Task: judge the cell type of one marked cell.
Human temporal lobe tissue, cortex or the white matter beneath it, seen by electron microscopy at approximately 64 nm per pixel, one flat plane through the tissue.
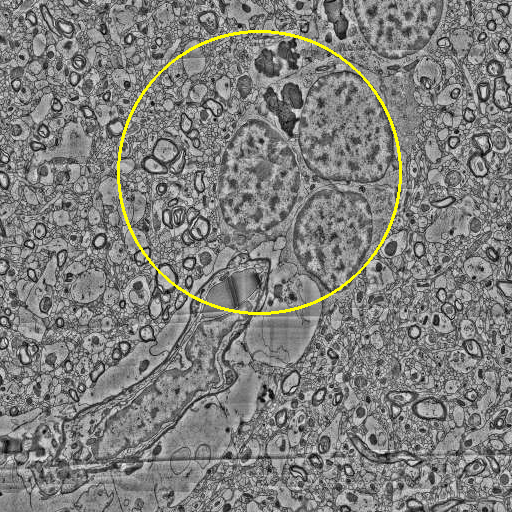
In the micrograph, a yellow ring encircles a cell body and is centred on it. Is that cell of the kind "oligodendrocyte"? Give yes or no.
yes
